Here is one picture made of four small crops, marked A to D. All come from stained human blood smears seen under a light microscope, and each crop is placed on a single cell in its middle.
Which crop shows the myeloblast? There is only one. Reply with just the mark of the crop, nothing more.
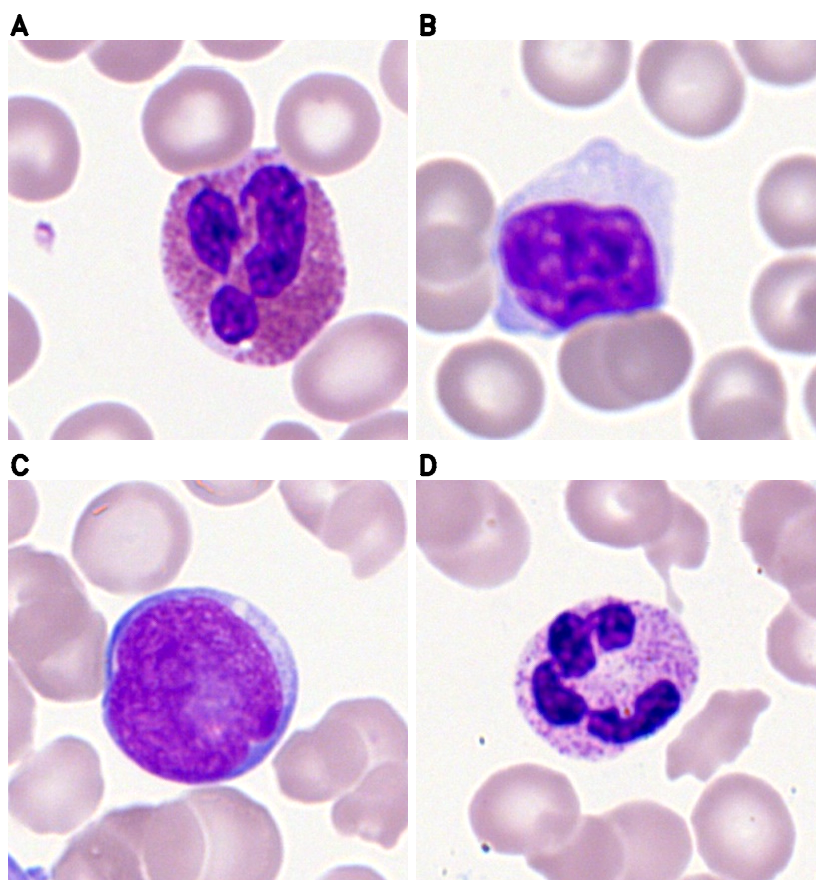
C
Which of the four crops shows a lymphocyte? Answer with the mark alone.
B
